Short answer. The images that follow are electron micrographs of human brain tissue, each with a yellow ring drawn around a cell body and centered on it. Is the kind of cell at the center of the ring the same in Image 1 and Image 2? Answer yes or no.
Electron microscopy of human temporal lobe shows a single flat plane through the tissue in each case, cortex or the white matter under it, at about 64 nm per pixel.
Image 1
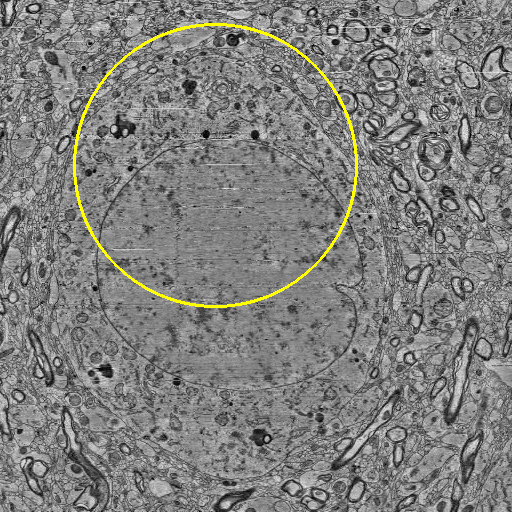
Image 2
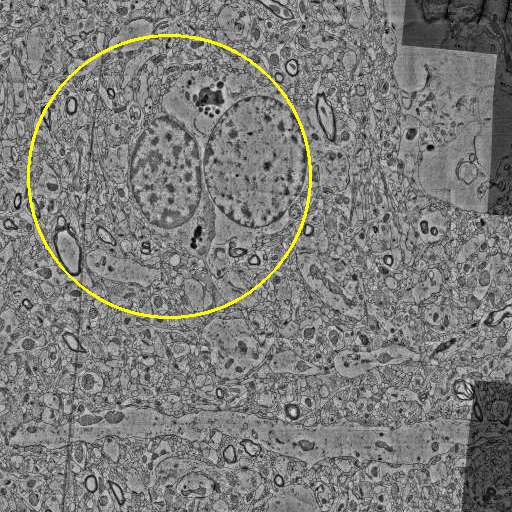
no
